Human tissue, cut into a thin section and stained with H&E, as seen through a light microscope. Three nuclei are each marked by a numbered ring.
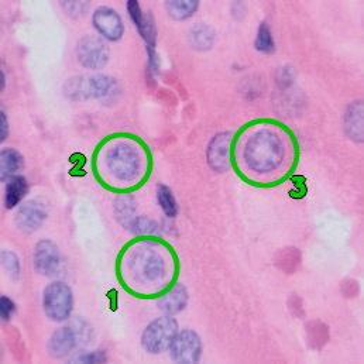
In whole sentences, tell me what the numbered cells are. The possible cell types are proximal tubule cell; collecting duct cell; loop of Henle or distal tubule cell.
Cells 1 and 2 are collecting duct cells. Cell 3 is a proximal tubule cell.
